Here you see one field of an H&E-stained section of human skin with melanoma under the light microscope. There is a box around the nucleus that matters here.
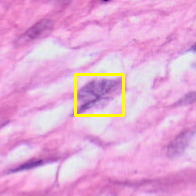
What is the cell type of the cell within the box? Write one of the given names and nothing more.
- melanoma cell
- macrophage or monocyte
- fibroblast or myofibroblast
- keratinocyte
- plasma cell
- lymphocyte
fibroblast or myofibroblast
